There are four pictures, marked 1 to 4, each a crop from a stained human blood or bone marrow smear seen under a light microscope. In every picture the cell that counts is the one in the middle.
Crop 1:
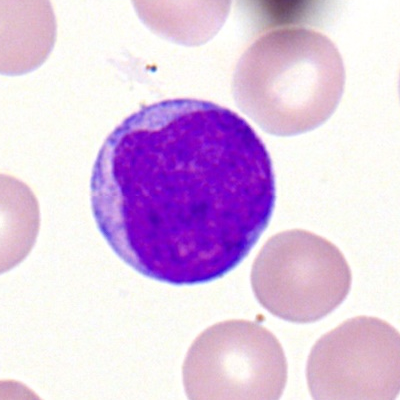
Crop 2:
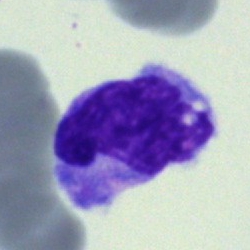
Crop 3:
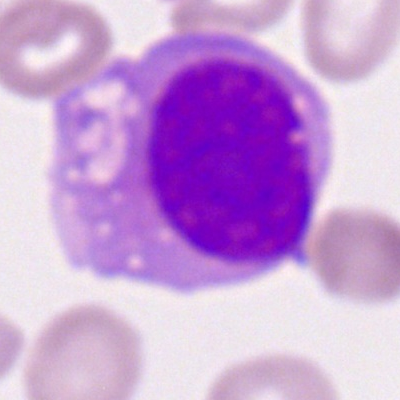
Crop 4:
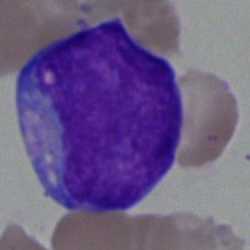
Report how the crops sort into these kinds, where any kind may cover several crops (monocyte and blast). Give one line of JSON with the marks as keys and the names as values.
{"1": "blast", "2": "monocyte", "3": "monocyte", "4": "blast"}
